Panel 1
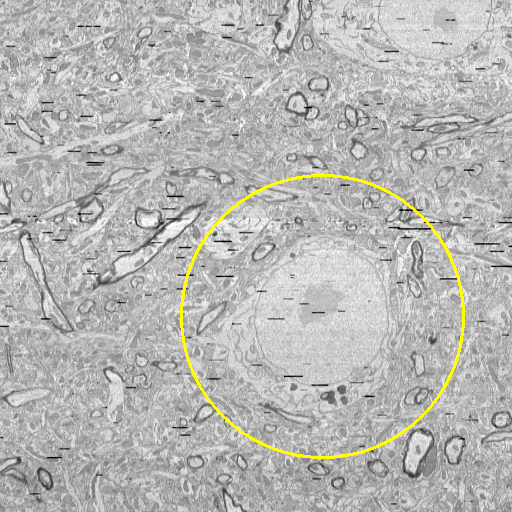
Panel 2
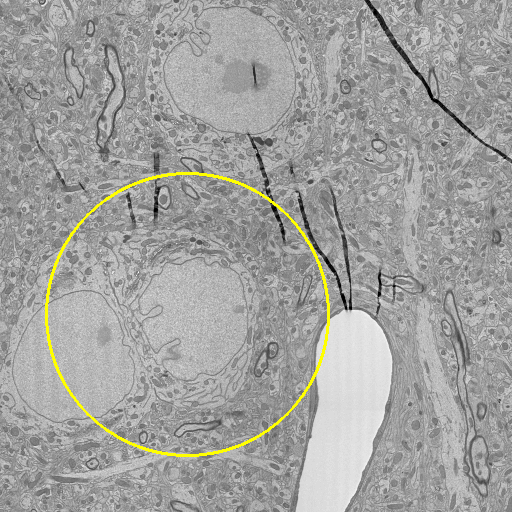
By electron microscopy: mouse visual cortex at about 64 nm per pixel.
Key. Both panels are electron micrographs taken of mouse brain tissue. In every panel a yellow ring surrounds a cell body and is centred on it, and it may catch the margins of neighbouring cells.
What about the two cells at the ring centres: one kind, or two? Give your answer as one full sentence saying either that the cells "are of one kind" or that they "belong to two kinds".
Across Panels 1 and 2, the two cells at the ring centres are of one kind.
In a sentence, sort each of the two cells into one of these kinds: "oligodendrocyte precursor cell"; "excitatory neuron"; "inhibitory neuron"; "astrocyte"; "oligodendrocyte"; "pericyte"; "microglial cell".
The cell in the first picture is an inhibitory neuron, and so is the one in the second.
